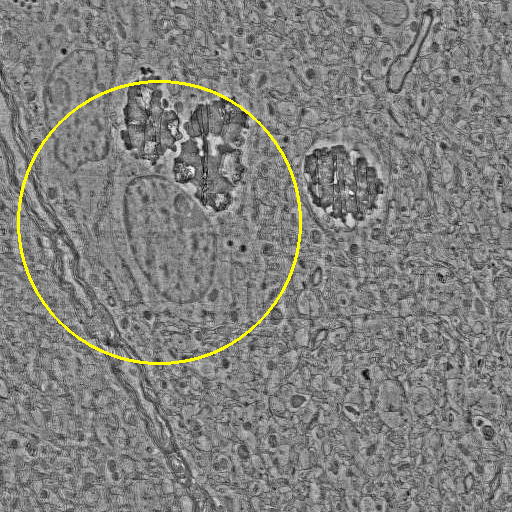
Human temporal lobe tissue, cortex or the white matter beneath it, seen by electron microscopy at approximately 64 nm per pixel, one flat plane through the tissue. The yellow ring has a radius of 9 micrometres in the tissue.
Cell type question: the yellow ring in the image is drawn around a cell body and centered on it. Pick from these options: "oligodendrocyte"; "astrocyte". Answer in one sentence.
The ringed cell at the center is an astrocyte.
